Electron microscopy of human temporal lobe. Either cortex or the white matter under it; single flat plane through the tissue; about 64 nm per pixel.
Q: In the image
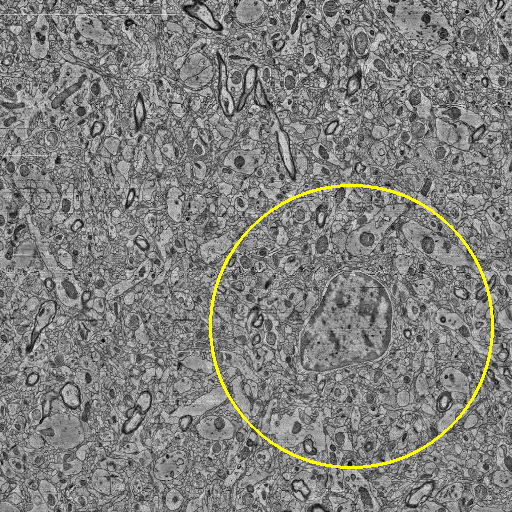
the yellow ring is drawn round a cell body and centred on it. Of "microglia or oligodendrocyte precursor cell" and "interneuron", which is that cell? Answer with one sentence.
The cell centred in the ring is a microglial cell or oligodendrocyte precursor cell.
